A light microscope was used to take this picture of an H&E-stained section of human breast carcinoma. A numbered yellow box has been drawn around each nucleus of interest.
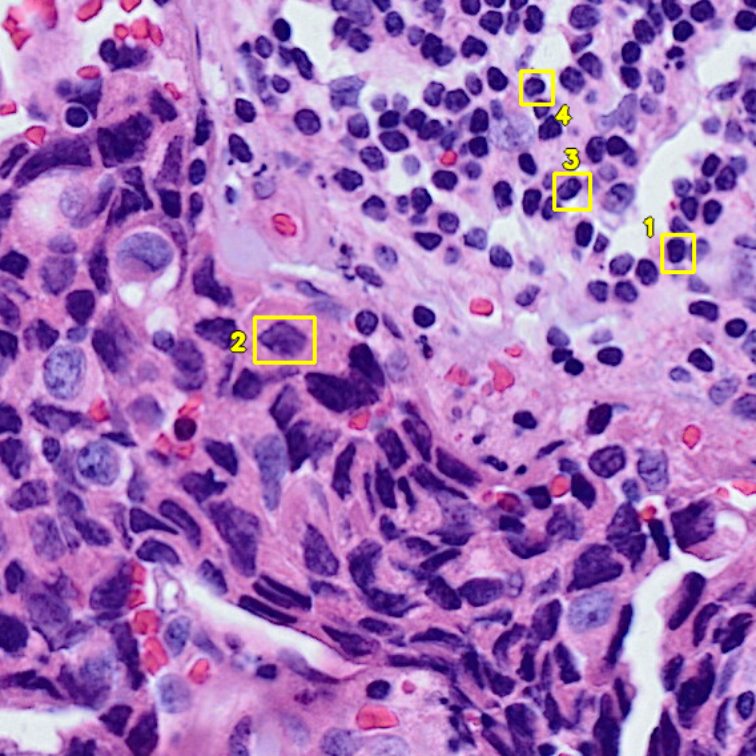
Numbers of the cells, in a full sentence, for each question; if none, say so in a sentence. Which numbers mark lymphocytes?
The cells that have numbers 1, 3 and 4 are lymphocytes.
